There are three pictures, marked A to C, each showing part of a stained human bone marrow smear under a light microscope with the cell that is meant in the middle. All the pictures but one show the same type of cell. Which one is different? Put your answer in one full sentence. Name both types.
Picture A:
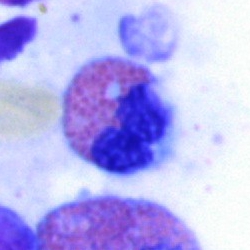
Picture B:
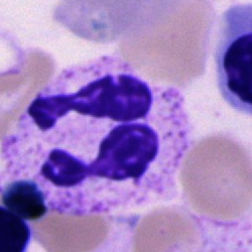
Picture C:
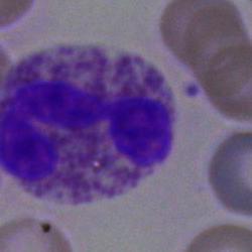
Picture B differs, because its cell is a segmented neutrophil and the rest are eosinophils.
